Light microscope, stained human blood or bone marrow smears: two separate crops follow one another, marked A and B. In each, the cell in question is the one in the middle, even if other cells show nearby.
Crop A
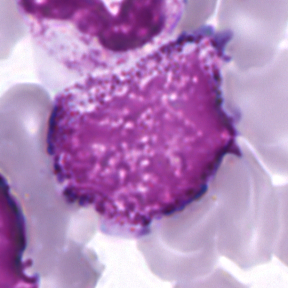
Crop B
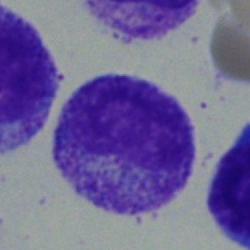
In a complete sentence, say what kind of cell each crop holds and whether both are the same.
Yes, the cells in both crops are myelocytes.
